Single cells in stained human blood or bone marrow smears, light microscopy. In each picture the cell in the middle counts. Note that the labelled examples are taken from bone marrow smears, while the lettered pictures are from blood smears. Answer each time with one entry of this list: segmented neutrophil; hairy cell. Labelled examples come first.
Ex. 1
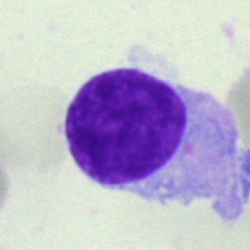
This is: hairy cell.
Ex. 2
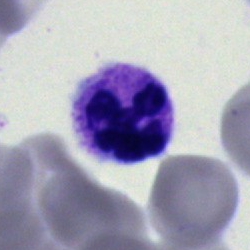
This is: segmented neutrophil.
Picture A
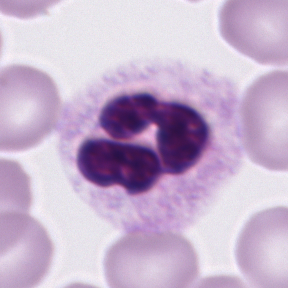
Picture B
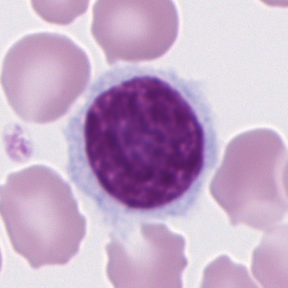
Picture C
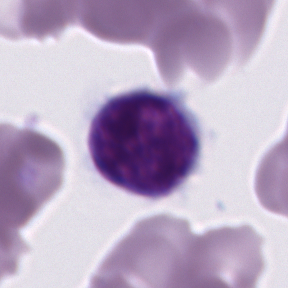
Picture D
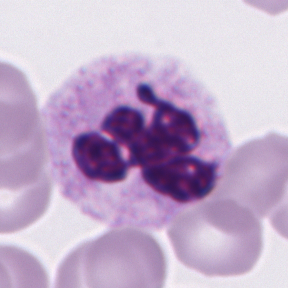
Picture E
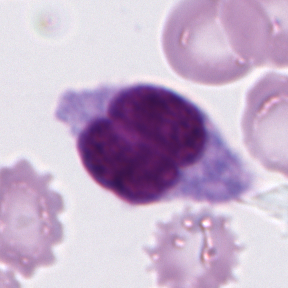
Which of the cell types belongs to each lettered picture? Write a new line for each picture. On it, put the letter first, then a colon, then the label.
A: segmented neutrophil.
B: hairy cell.
C: hairy cell.
D: segmented neutrophil.
E: hairy cell.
